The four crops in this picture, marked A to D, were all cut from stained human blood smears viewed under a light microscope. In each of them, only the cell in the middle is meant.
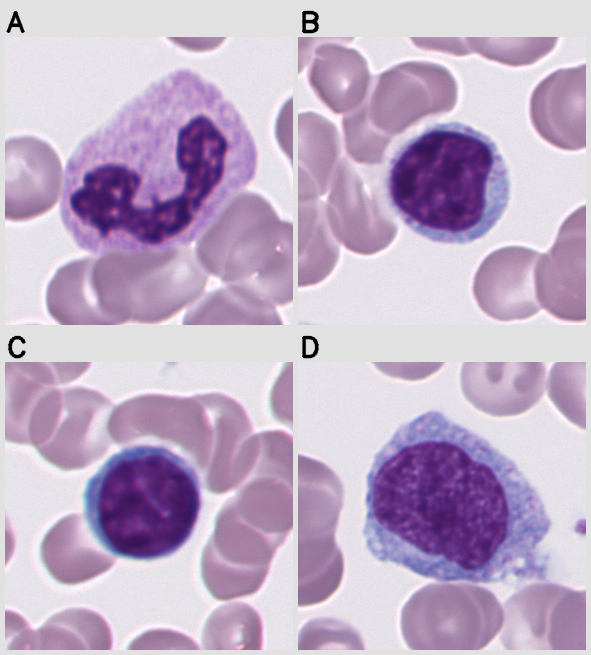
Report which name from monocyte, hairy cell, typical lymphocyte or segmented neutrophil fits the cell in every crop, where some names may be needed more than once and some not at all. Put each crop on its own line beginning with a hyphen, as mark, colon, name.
- A: segmented neutrophil
- B: typical lymphocyte
- C: typical lymphocyte
- D: monocyte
